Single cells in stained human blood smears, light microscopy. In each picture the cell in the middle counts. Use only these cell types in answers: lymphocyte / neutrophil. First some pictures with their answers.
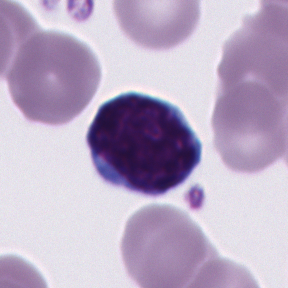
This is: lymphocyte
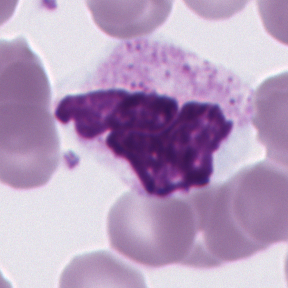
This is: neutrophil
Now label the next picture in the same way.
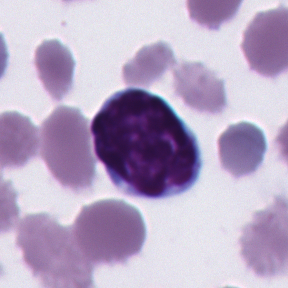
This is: lymphocyte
